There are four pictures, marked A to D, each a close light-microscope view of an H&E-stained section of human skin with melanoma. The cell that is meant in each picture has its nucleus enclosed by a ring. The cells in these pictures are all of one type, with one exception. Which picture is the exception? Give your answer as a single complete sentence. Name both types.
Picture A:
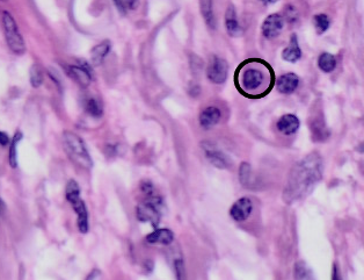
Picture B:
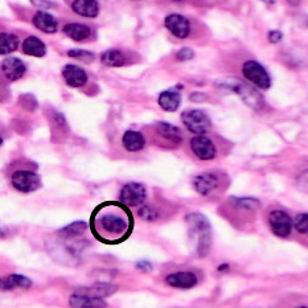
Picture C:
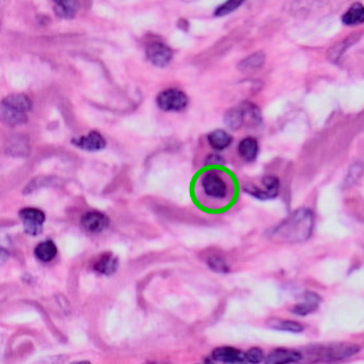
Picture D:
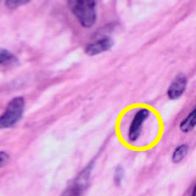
The others show plasma cells, but picture D shows a lymphocyte.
